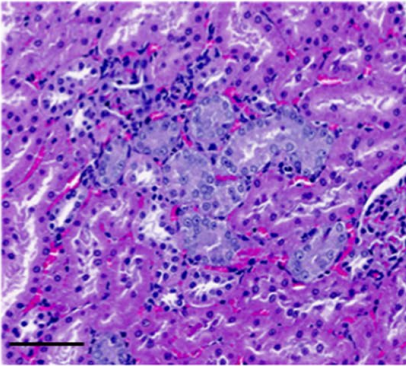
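Kidney tissue packed with tubules lined by cuboidal epithelial cells with round central nuclei and pink cytoplasm, set in a thin interstitium. In the centre, a group of tubules stands out: their cells have pale bluish-grey cytoplasm rather than pink, with crowded round nuclei, giving a patch clearly unlike the surrounding tubules. The interstitium around this patch holds more small dark nuclei. Small red capillaries run between the tubules. The blue-tinged tubular epithelium amid otherwise pink tubules is the picture of tubular basophilia.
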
